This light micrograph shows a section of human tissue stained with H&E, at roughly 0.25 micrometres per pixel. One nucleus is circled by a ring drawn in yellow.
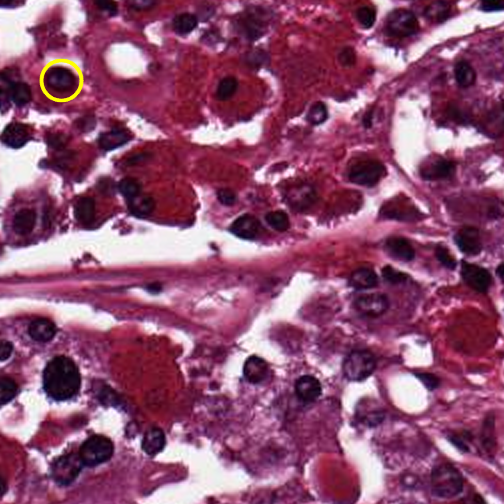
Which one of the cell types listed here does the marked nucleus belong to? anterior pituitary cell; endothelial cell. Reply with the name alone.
anterior pituitary cell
